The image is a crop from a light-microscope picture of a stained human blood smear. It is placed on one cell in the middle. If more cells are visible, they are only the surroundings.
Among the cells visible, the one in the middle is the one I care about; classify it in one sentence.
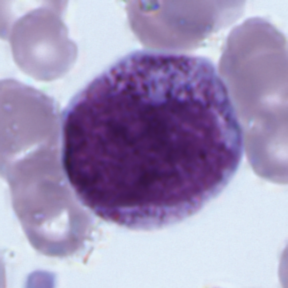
The cell of interest, located centrally, is a promyelocyte.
